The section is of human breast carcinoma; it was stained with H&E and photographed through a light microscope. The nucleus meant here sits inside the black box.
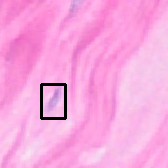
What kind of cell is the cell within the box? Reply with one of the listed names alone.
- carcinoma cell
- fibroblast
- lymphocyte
fibroblast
